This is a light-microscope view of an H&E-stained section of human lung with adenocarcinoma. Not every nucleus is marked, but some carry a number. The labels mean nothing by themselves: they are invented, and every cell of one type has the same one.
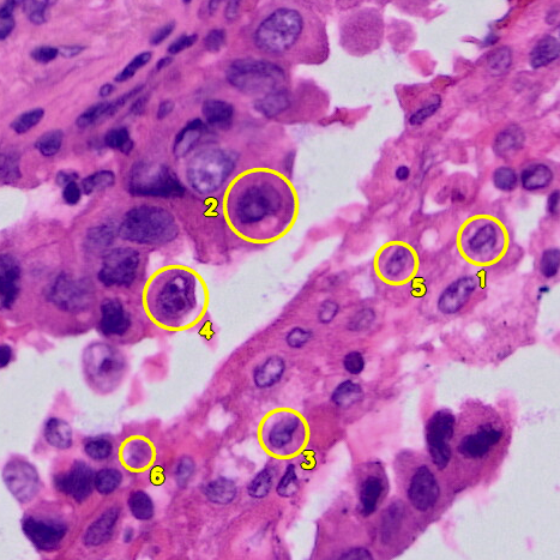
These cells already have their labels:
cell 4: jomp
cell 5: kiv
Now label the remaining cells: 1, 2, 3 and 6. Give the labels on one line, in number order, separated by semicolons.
kiv; jomp; kiv; kiv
